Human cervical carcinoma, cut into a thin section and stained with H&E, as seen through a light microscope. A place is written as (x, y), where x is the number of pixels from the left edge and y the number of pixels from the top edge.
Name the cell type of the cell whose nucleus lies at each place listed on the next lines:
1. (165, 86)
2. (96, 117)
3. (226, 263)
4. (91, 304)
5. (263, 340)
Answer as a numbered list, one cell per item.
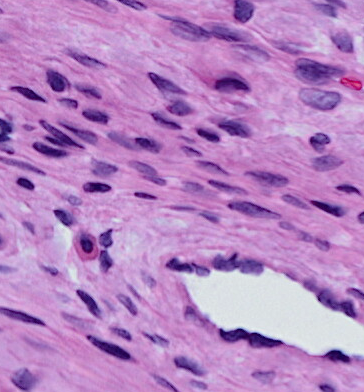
1. fibroblast
2. fibroblast
3. endothelial cell
4. fibroblast
5. endothelial cell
